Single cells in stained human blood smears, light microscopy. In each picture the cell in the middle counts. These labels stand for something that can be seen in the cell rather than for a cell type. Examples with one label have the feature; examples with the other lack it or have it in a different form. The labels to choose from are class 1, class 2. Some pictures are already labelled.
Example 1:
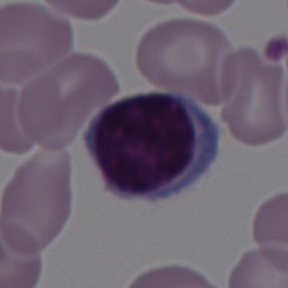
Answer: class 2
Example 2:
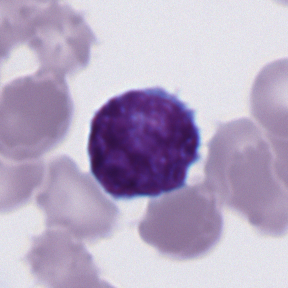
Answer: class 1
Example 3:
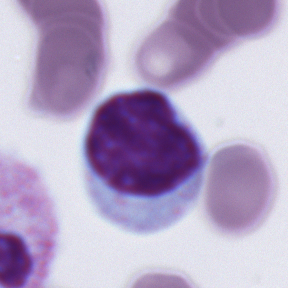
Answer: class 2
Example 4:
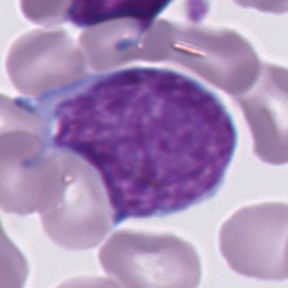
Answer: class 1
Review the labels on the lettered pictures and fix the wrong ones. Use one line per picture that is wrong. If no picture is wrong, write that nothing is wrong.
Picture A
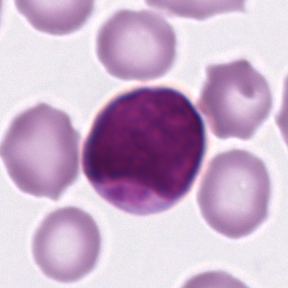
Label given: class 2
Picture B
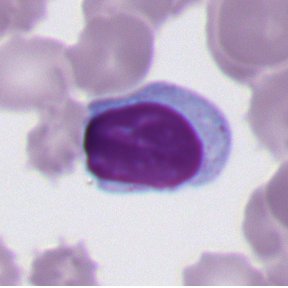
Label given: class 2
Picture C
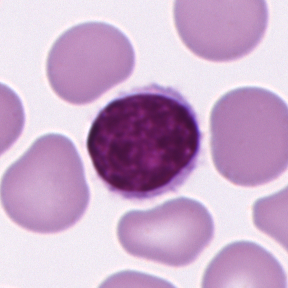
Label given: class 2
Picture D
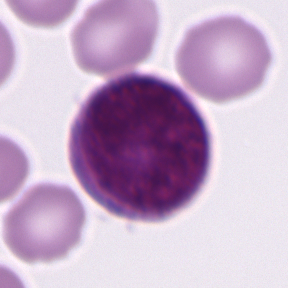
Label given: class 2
C should be class 1, not class 2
